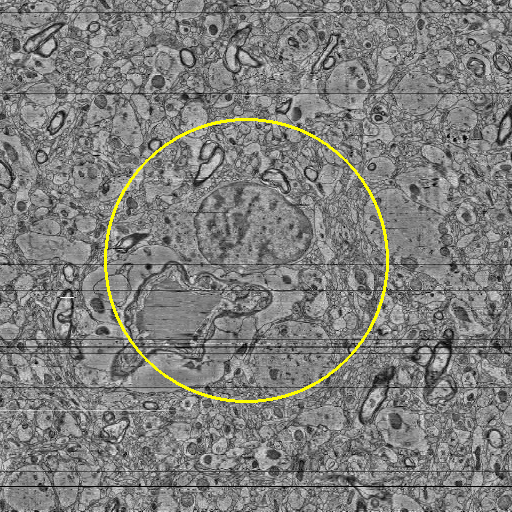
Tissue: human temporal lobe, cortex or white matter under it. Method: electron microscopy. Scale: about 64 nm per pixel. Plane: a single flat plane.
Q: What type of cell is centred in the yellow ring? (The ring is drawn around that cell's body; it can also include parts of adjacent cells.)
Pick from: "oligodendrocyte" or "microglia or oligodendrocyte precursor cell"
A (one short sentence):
The yellow ring is centred on an oligodendrocyte.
